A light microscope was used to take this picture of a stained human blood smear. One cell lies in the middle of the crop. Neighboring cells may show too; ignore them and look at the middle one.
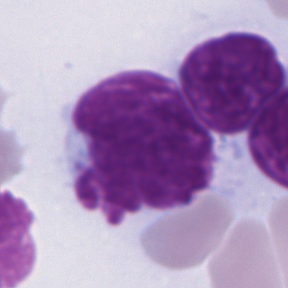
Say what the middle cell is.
blast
